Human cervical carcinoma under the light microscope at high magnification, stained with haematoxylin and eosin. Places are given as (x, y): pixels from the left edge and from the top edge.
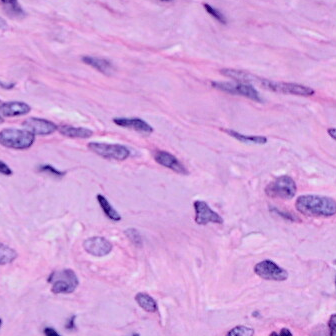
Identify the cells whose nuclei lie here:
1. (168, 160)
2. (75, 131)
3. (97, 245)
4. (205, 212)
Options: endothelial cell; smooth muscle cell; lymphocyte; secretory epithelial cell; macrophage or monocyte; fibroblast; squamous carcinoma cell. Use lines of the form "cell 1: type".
cell 1: endothelial cell
cell 2: endothelial cell
cell 3: endothelial cell
cell 4: fibroblast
